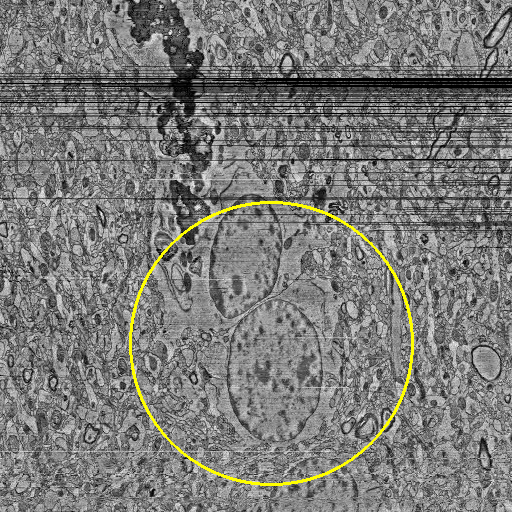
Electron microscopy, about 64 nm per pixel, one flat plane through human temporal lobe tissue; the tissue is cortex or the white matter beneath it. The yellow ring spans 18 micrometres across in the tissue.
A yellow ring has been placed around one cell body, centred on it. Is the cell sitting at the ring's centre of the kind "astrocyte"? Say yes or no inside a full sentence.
Yes, the cell sitting at the centre of the yellow ring is of that kind.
